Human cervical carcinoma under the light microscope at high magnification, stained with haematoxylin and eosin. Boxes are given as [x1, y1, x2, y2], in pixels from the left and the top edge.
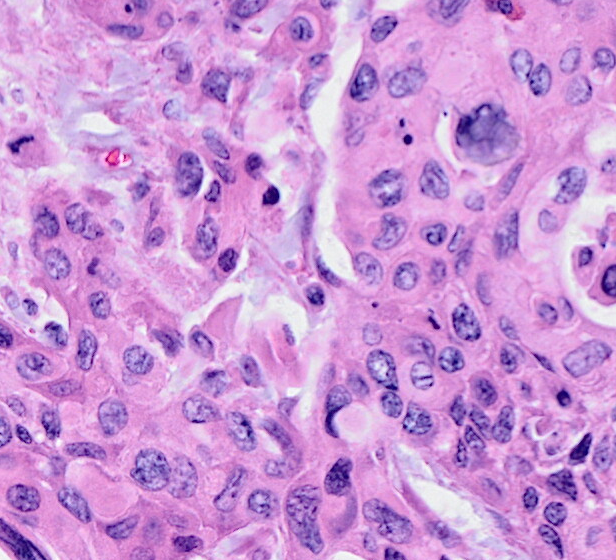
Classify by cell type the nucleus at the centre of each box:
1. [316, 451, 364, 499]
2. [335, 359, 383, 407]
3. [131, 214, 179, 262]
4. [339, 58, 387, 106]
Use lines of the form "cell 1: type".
cell 1: squamous carcinoma cell
cell 2: squamous carcinoma cell
cell 3: macrophage or monocyte
cell 4: squamous carcinoma cell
